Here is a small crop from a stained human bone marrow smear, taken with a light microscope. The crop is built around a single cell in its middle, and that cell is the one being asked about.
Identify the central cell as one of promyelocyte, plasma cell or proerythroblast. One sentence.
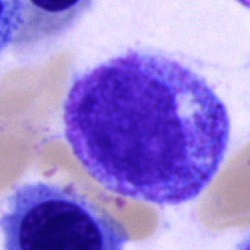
As for the cell in the middle, it is a promyelocyte.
